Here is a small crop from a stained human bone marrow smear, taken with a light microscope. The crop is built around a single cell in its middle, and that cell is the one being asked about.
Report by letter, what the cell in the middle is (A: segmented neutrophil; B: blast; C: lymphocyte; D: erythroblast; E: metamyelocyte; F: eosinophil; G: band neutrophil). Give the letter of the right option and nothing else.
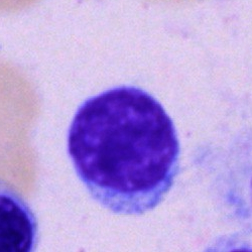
C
